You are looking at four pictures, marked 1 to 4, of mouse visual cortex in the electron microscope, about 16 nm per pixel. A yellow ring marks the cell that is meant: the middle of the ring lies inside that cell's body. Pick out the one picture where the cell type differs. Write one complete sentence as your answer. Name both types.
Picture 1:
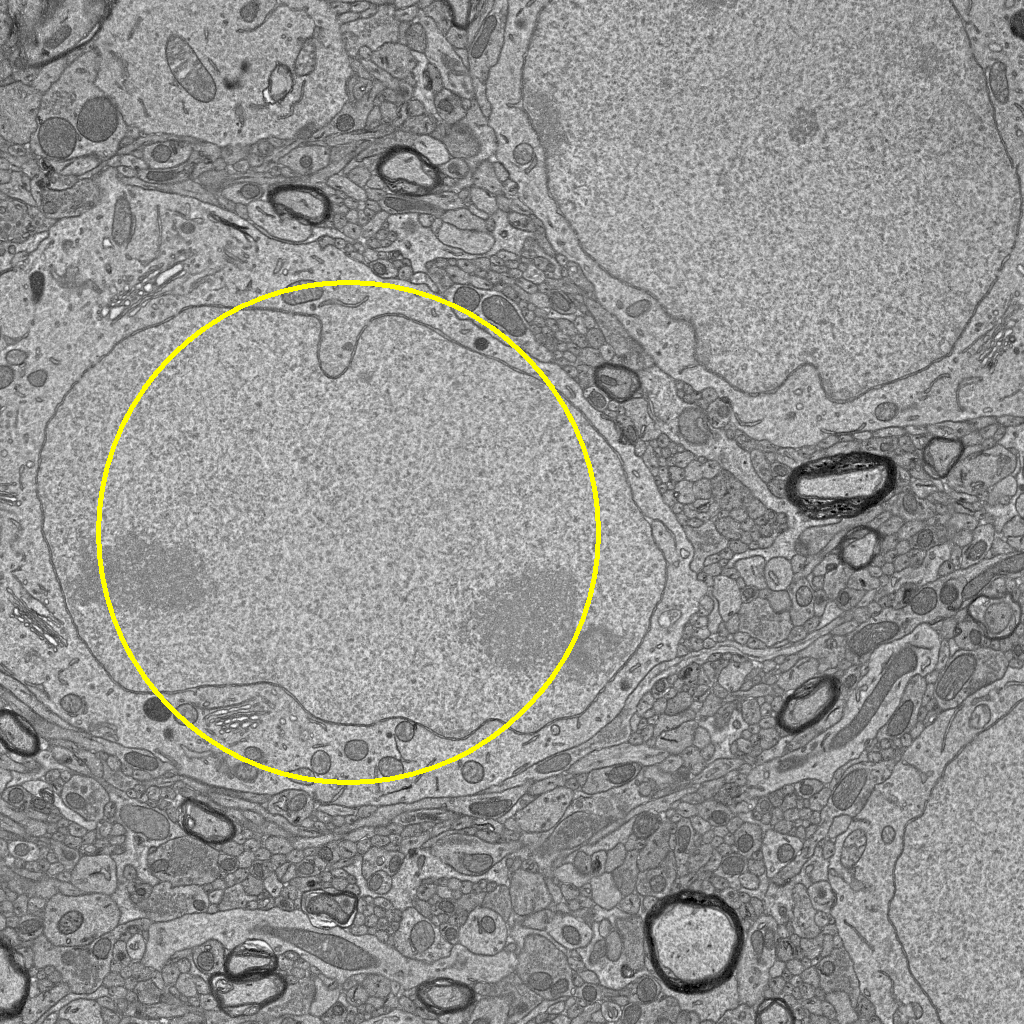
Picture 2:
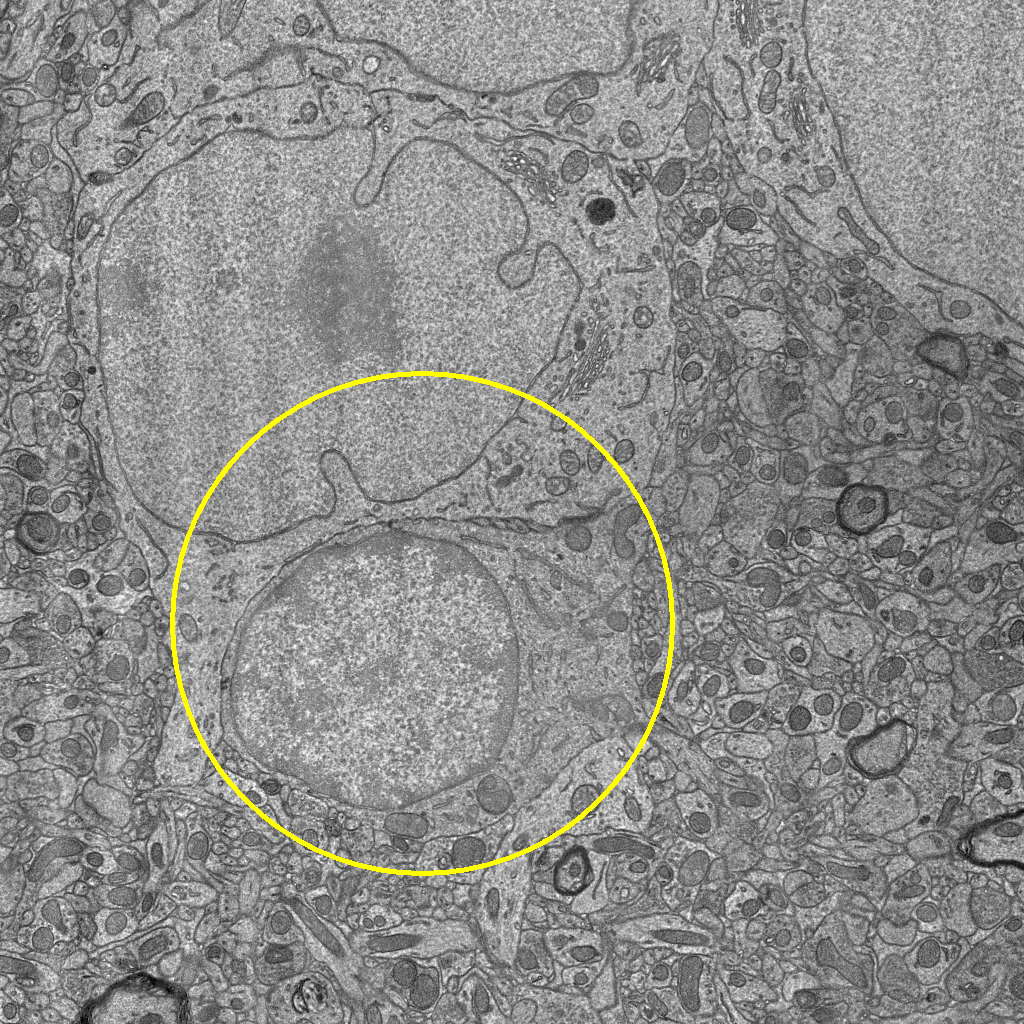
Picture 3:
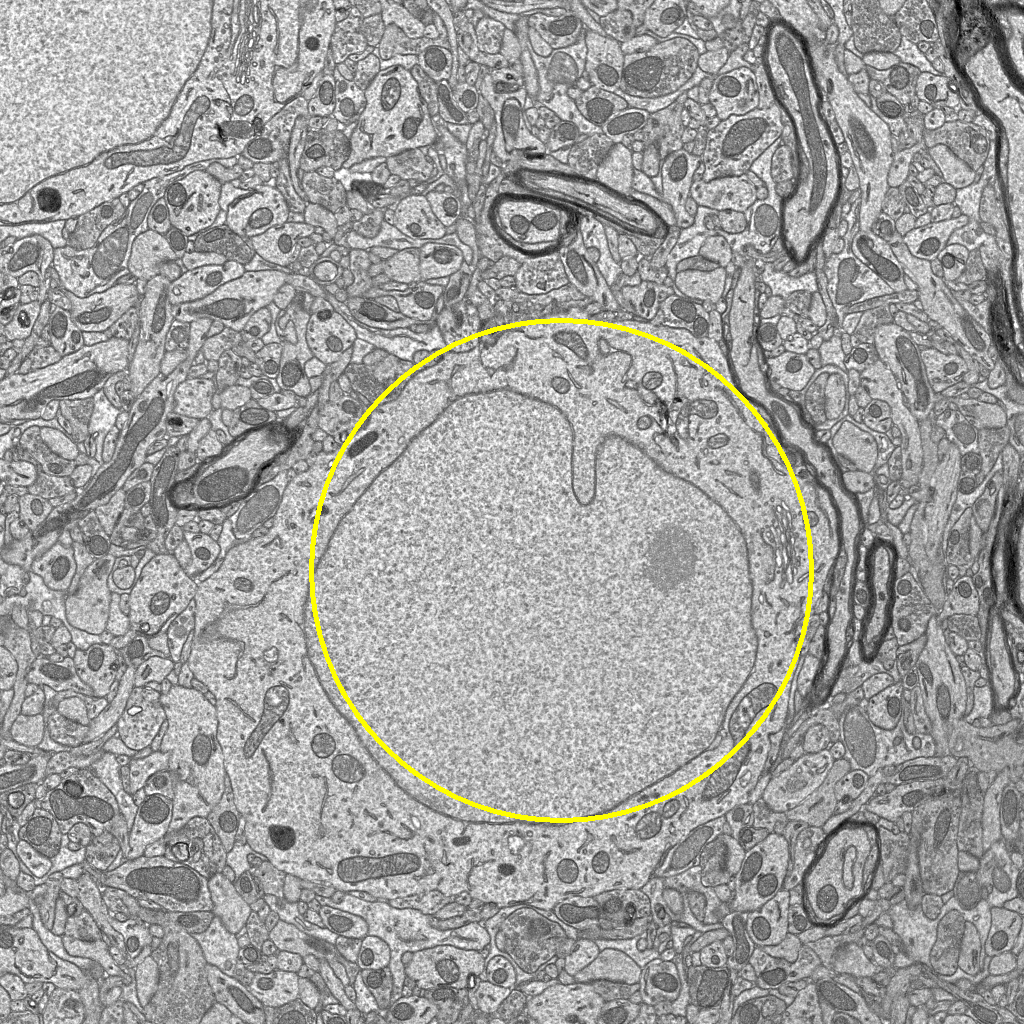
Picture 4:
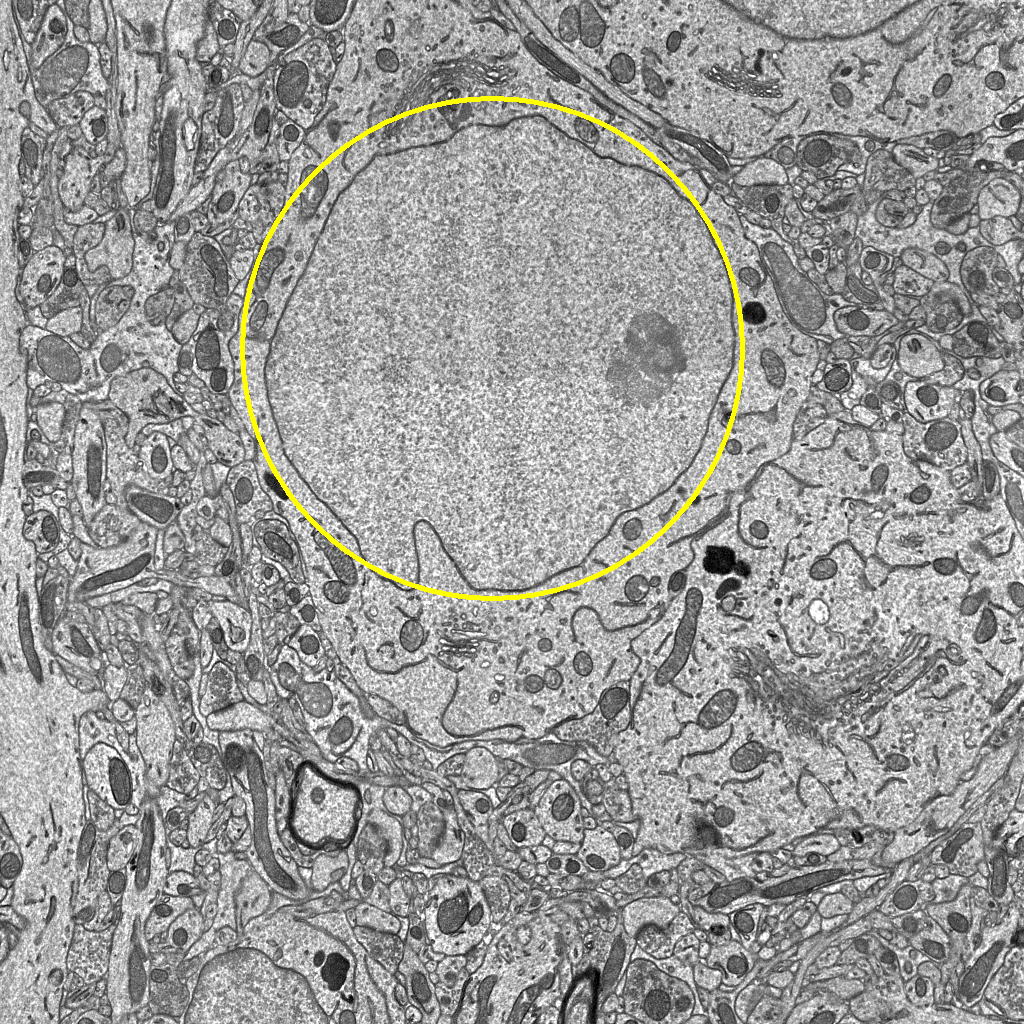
Unlike the rest, which show excitatory neurons, picture 2 shows an oligodendrocyte.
